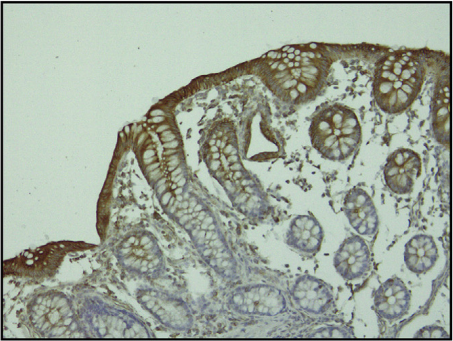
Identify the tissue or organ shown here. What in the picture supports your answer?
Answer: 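Round crypts cut in cross-section sit in the mucosa. The crypts are lined by columnar cells with many clear goblet vacuoles.
Answer: colon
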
